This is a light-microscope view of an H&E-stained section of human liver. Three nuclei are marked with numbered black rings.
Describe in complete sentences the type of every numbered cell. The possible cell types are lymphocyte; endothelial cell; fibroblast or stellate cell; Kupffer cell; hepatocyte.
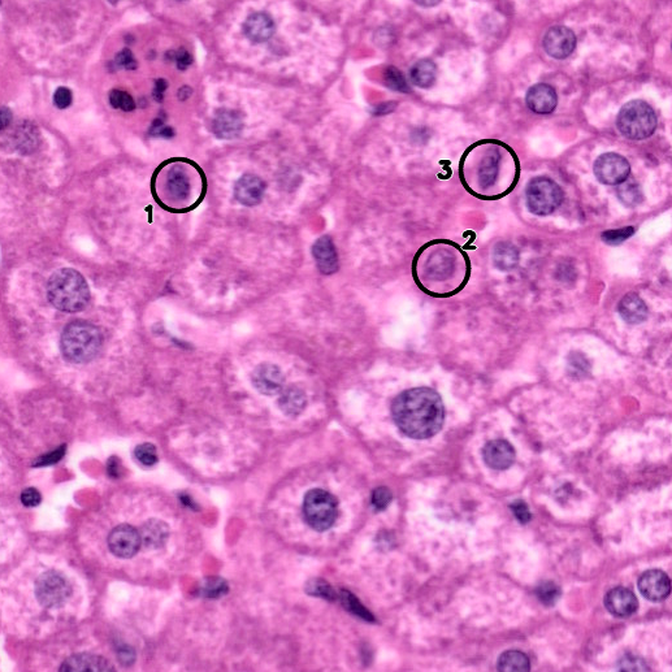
Cell 1 is a Kupffer cell, cell 2 is a hepatocyte and cell 3 is a Kupffer cell.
